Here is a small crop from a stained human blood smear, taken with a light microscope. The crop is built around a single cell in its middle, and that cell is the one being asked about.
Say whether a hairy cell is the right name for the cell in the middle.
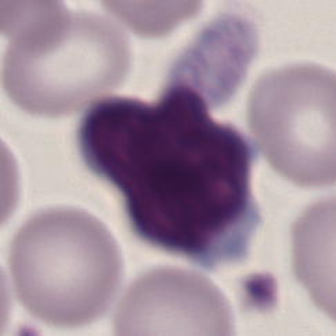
no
